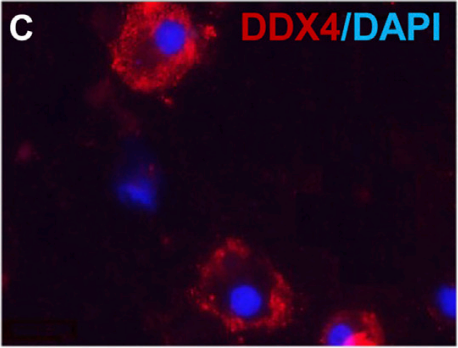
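The stained cells have a round blue nucleus set within a broad irregular cytoplasm that is filled with granular red staining. The red cytoplasm extends well beyond the nucleus, giving the cells a large flattened outline. Between them lie a few blue nuclei without red staining around them, belonging to other cells.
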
